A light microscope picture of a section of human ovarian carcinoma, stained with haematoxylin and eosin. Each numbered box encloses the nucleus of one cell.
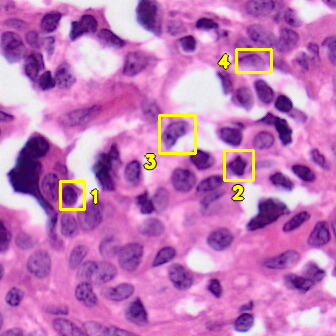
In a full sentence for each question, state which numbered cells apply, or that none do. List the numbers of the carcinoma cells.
Cells 1, 2 and 4 are of one type, namely carcinoma cells.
